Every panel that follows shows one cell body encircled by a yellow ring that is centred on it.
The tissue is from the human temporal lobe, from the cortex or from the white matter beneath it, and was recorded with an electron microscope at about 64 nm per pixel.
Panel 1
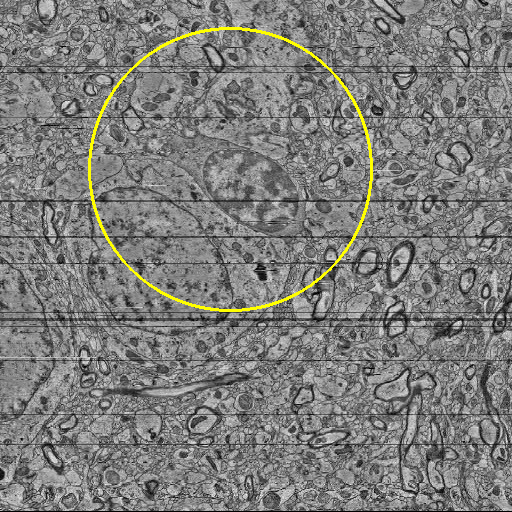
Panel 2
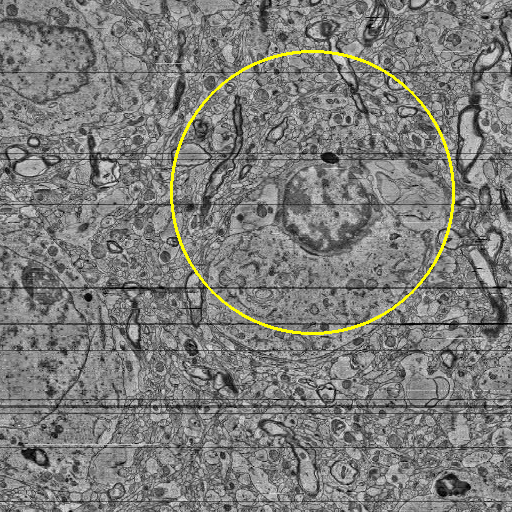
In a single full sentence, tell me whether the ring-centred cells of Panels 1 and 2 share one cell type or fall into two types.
In Panel 1 and Panel 2, the cells at the ring centres share one cell type.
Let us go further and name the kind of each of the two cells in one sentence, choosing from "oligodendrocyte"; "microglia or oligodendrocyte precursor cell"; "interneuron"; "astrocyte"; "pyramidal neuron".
The ring centre holds an oligodendrocyte in each of the two pictures.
